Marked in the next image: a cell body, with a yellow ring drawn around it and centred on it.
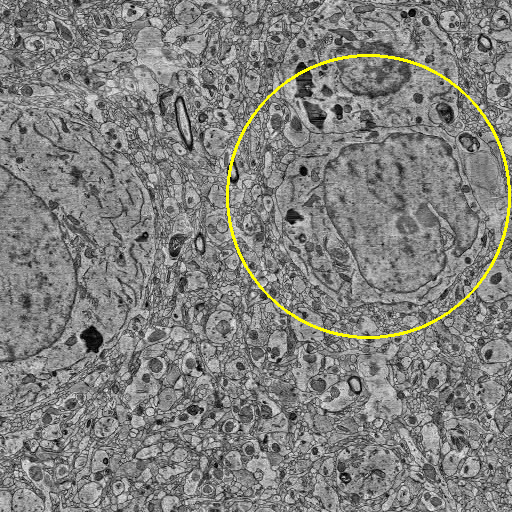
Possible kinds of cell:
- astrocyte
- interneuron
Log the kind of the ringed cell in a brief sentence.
The ringed cell body is that of an interneuron.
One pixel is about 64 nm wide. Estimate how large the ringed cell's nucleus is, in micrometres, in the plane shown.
The nucleus measures about 11 micrometers across in this plane.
